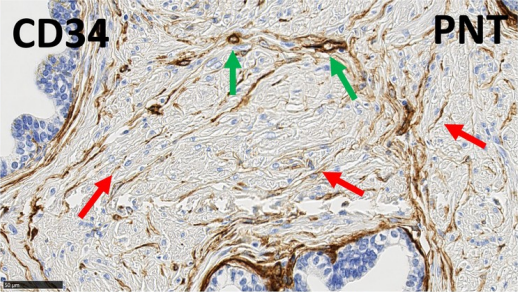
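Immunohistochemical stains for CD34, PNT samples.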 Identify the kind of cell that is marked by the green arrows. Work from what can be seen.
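Endothelial cells. The arrows point to small ring-like brown structures in the stroma. These look like tiny vessel cross-sections lined by thin cells.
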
